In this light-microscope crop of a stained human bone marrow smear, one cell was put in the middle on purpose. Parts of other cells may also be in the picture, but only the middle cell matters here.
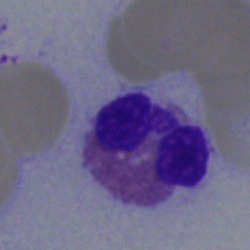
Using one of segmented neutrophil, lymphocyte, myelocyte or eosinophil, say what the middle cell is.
eosinophil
